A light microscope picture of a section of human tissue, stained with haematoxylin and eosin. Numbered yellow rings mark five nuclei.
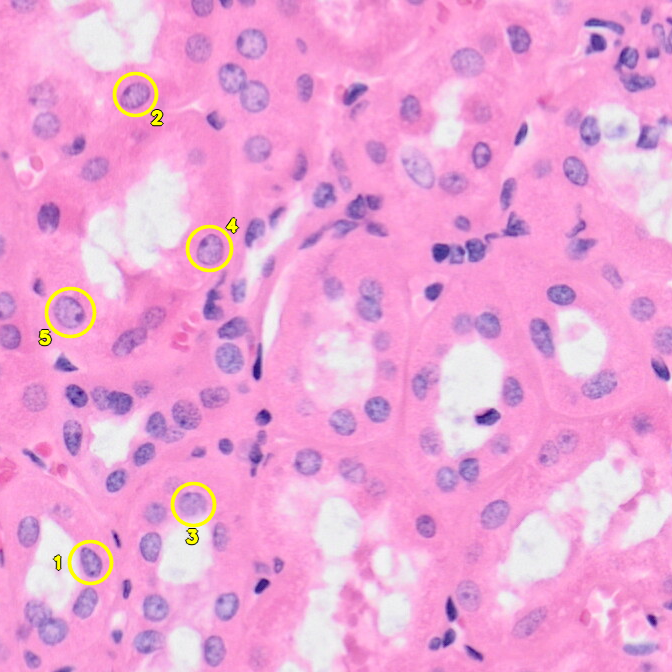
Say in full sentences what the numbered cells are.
Cell 1 is a loop of Henle or distal tubule cell, cell 2 is a proximal tubule cell, cell 3 is a loop of Henle or distal tubule cell, cell 4 is a proximal tubule cell and cell 5 is a proximal tubule cell.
